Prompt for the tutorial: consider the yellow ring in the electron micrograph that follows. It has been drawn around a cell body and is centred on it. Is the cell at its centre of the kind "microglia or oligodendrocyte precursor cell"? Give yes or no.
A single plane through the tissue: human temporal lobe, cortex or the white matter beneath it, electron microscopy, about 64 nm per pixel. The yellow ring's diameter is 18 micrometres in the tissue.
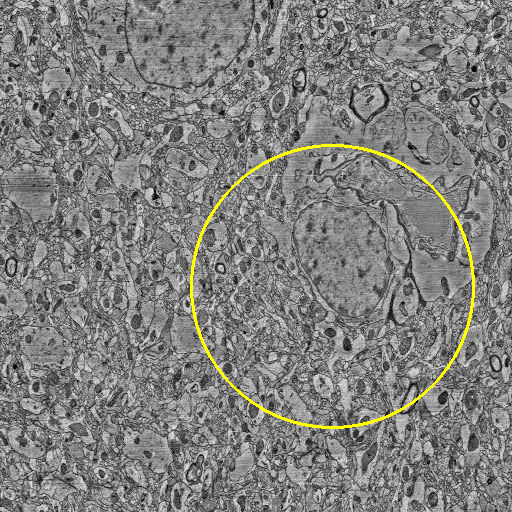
yes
